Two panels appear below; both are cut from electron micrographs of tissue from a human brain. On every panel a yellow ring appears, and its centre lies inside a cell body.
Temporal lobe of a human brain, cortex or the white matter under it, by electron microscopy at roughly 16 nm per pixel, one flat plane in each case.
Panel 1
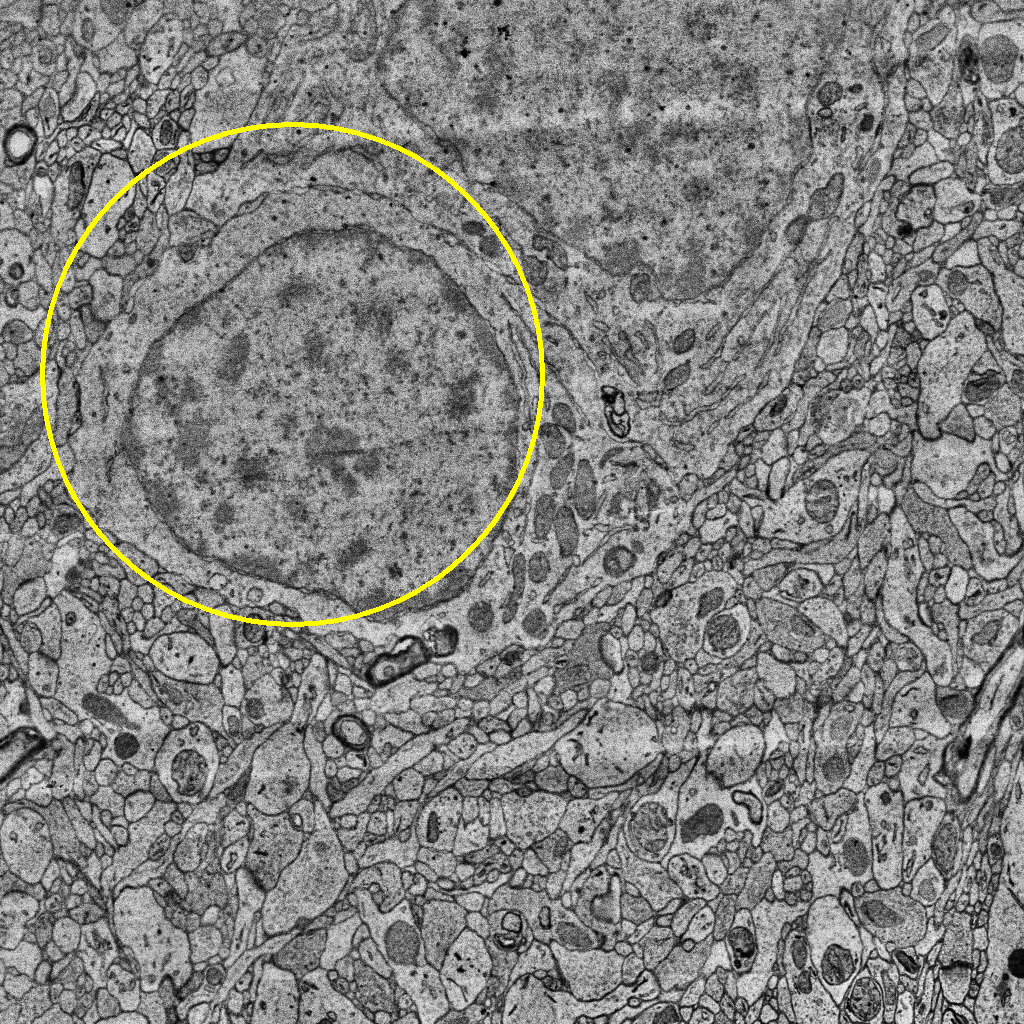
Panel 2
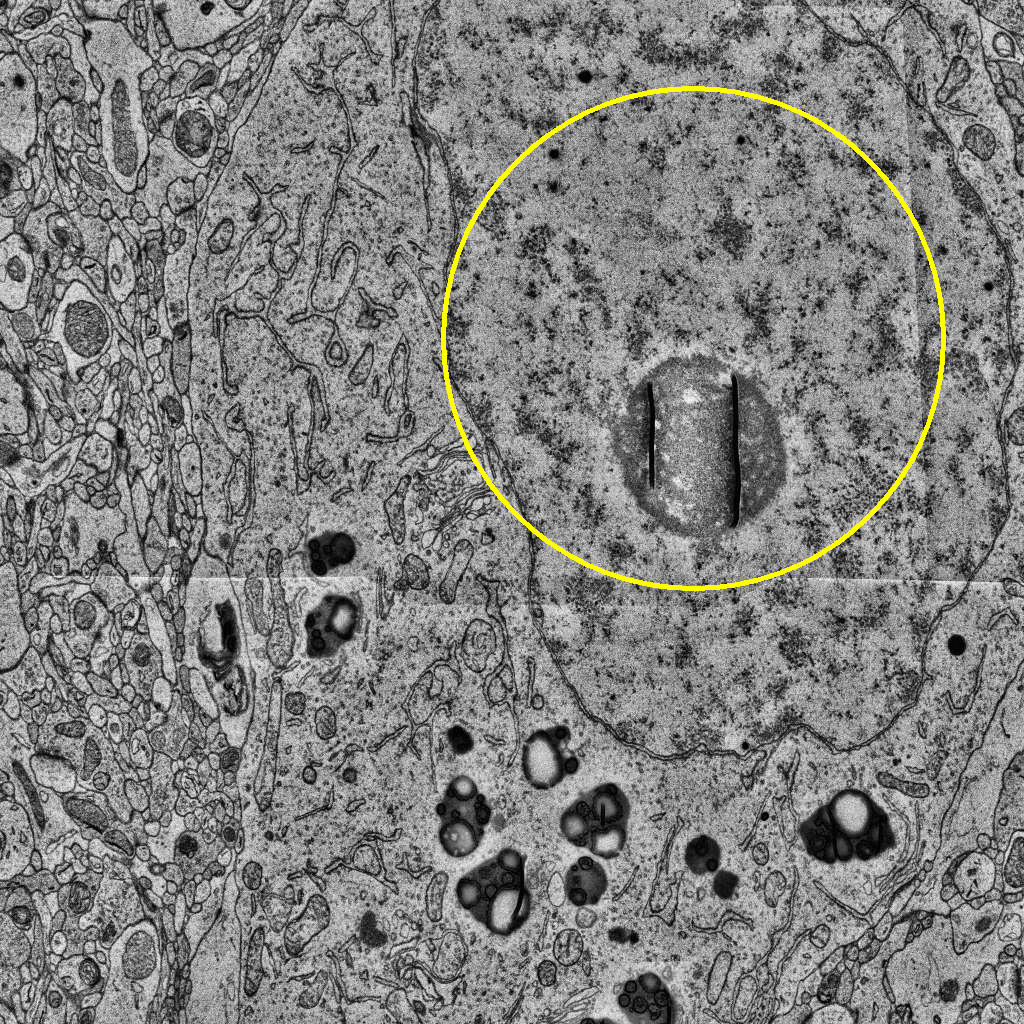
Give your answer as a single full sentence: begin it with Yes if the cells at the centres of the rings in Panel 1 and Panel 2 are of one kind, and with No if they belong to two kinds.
No, the cells at the middle of the rings in Panels 1 and 2 are of two kinds.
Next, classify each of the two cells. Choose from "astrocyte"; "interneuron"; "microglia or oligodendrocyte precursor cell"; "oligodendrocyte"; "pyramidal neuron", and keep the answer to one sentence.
The second cell is an interneuron, and the first cell is a microglial cell or oligodendrocyte precursor cell.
